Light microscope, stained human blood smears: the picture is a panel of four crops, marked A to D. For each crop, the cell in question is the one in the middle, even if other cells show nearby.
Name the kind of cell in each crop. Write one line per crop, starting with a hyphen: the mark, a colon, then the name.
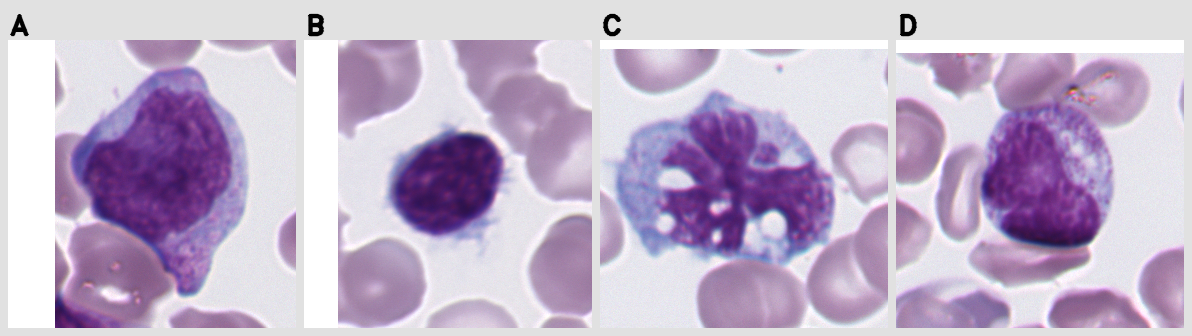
- A: atypical promyelocyte
- B: hairy cell
- C: monocyte
- D: metamyelocyte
